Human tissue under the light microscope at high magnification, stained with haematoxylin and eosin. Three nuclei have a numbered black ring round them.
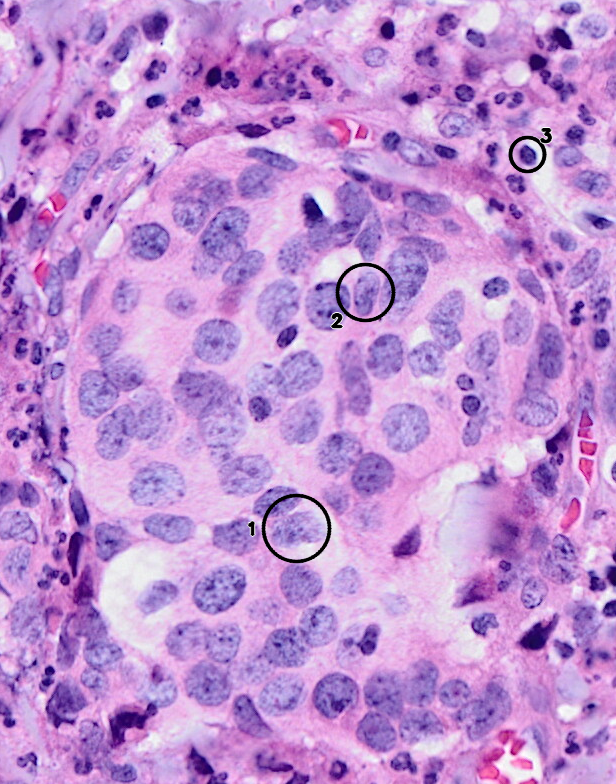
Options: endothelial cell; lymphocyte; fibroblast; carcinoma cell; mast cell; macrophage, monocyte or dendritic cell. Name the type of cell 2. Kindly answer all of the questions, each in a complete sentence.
The numbered cell 2 is identified here as a carcinoma cell.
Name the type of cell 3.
What the number 3 marks in this field is a lymphocyte.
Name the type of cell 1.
The cell to which the number 1 is assigned is a carcinoma cell.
